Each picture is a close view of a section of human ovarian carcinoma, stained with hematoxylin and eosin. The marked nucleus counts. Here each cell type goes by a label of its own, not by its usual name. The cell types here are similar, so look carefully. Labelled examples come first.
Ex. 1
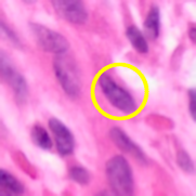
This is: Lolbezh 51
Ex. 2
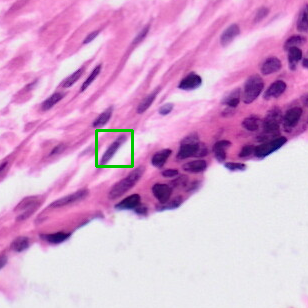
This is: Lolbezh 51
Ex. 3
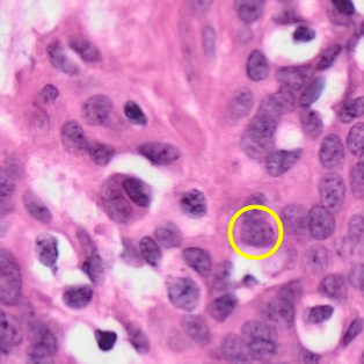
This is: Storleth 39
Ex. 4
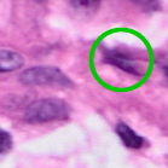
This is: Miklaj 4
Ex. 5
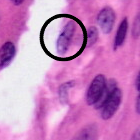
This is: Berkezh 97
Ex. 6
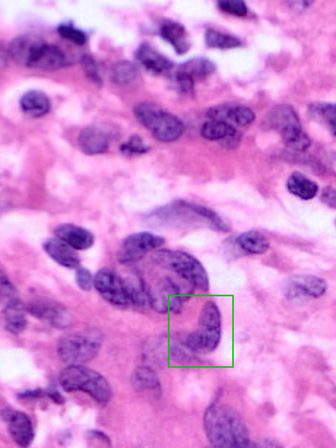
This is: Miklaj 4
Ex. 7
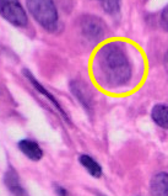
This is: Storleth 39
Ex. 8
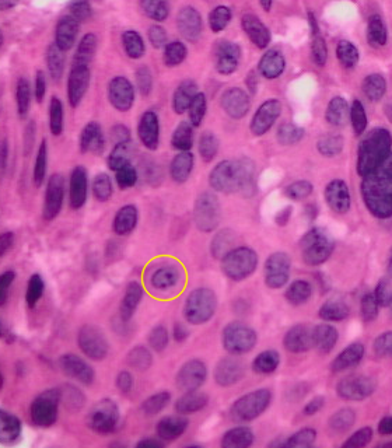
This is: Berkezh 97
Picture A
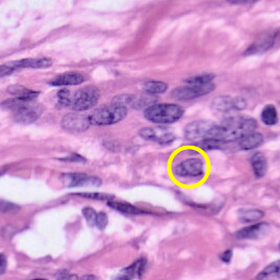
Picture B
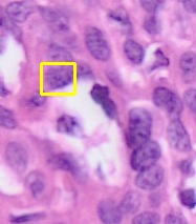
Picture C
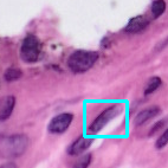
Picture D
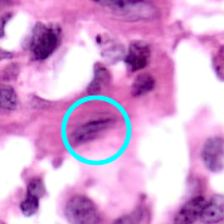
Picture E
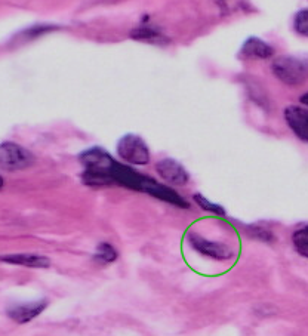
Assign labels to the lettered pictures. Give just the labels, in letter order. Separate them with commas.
Berkezh 97, Storleth 39, Miklaj 4, Miklaj 4, Lolbezh 51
